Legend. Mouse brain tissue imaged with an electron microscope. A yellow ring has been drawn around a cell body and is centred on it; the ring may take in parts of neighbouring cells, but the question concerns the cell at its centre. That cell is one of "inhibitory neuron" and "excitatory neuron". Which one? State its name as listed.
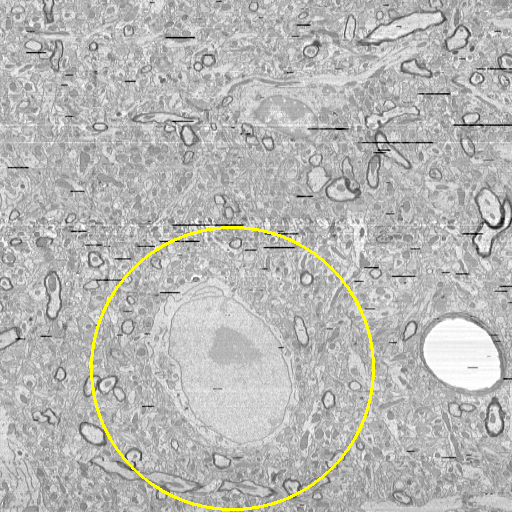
excitatory neuron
